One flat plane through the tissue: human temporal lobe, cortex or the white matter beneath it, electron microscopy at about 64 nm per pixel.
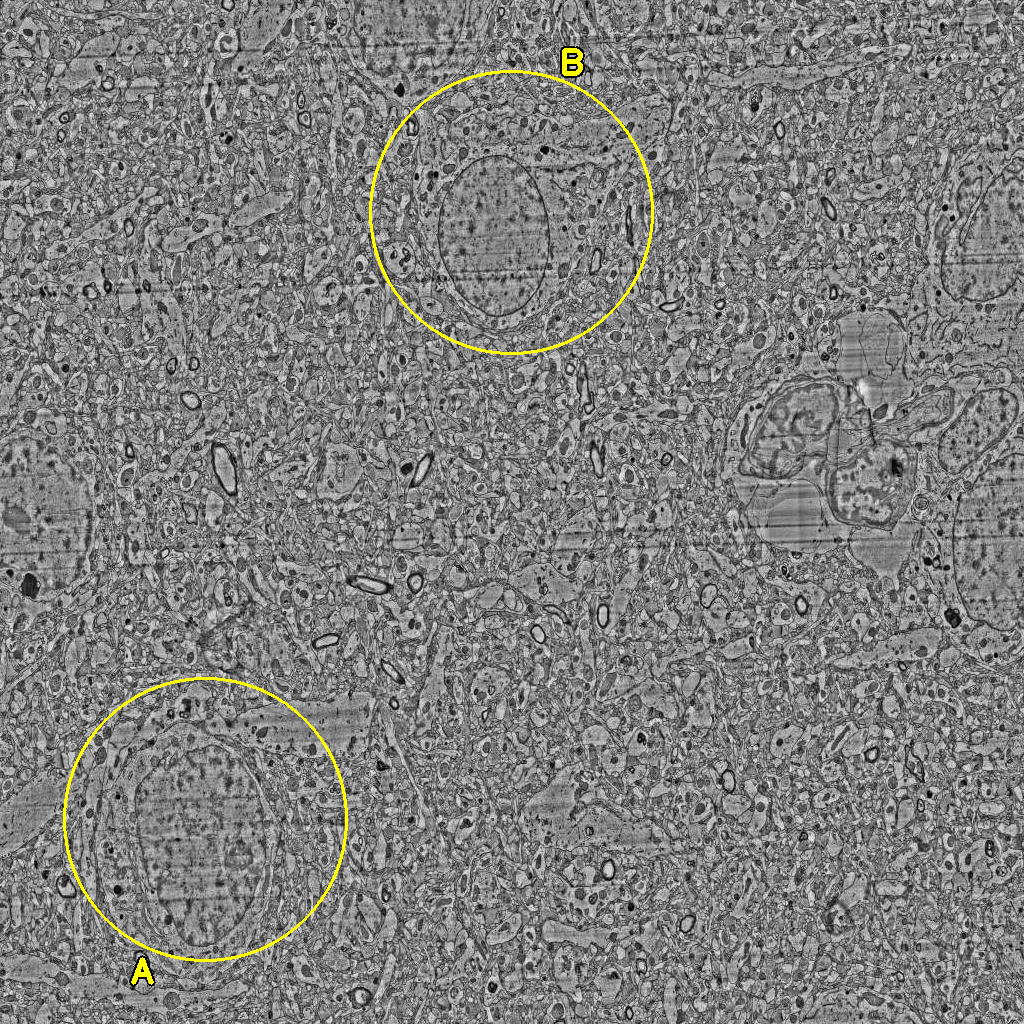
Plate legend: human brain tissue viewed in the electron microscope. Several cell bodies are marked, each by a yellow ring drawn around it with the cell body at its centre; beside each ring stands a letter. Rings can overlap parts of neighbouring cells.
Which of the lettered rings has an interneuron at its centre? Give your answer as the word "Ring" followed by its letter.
Ring A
